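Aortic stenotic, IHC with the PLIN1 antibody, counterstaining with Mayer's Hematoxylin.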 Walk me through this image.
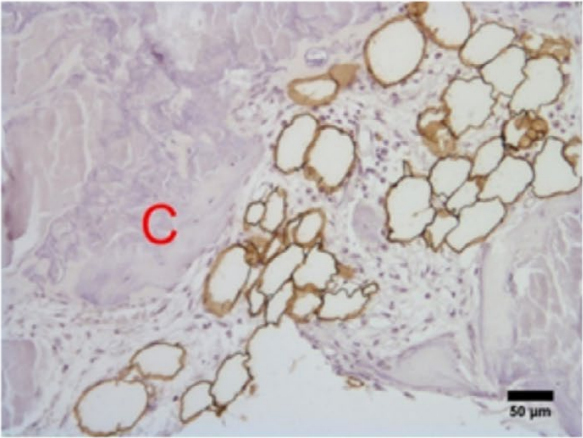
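This section of valve tissue shows clusters of adipocytes lying in a loose, cellular stroma beside a broad calcified region. Each adipocyte is a large, round to polygonal cell whose interior appears empty and clear, bounded by a thin brown-stained rim. The adipocytes are packed closely together in groups, some slightly deformed by their neighbours. Between them lies connective tissue with many small, blue-stained nuclei. To the left, the calcified area is a pale, largely acellular violet-pink mass with cracks, directly adjoining the fat cell clusters.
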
